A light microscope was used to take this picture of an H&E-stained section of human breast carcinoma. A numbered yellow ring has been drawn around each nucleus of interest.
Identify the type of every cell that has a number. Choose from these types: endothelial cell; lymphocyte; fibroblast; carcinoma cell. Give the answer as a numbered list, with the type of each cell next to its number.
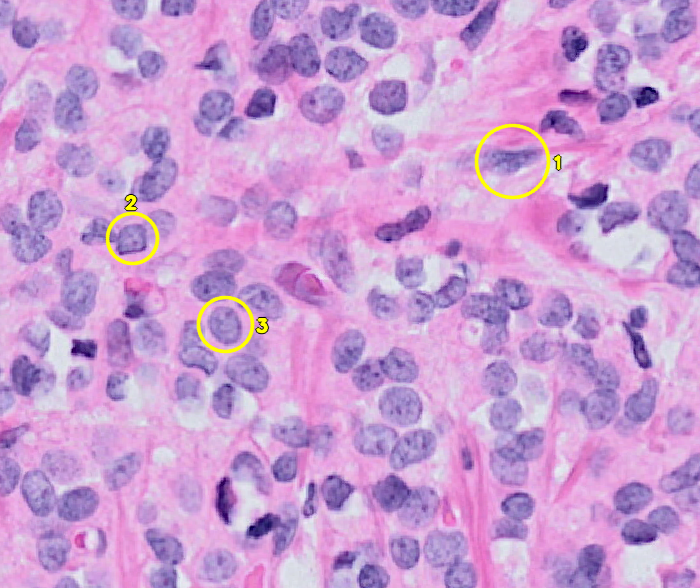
1. fibroblast
2. carcinoma cell
3. carcinoma cell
